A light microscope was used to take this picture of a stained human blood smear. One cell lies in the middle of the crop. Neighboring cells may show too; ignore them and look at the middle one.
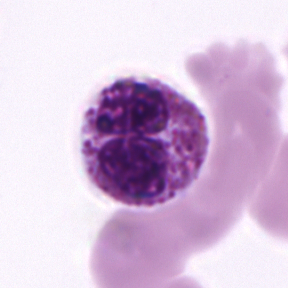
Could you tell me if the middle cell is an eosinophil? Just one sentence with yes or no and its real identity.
Yes, that middle cell in the crop is an eosinophil.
